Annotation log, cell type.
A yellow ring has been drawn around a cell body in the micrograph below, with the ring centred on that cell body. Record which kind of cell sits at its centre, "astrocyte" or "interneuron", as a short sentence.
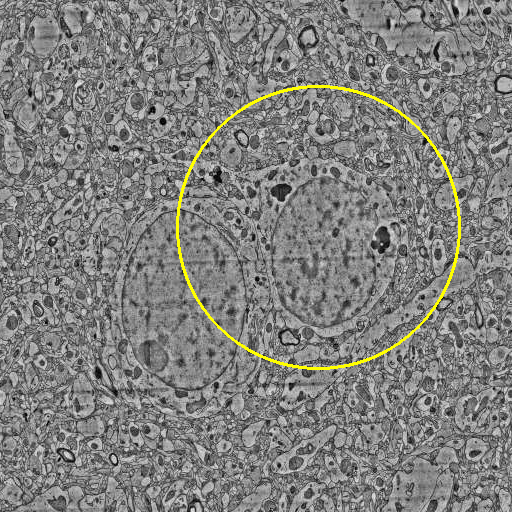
The cell at the centre of this ring is an interneuron.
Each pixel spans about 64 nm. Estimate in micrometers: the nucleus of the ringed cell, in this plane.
In this plane, the nucleus of the cell at the centre of the ring measures about 9 by 7 micrometres.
